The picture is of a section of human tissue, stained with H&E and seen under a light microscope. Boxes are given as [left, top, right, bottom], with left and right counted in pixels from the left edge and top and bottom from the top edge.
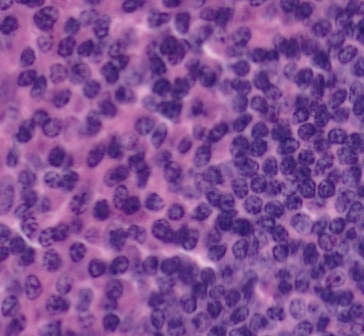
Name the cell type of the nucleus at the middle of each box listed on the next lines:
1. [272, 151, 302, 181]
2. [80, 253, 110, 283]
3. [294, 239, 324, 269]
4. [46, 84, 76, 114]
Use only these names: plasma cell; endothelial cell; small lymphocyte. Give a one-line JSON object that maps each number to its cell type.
{"1": "small lymphocyte", "2": "plasma cell", "3": "small lymphocyte", "4": "plasma cell"}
